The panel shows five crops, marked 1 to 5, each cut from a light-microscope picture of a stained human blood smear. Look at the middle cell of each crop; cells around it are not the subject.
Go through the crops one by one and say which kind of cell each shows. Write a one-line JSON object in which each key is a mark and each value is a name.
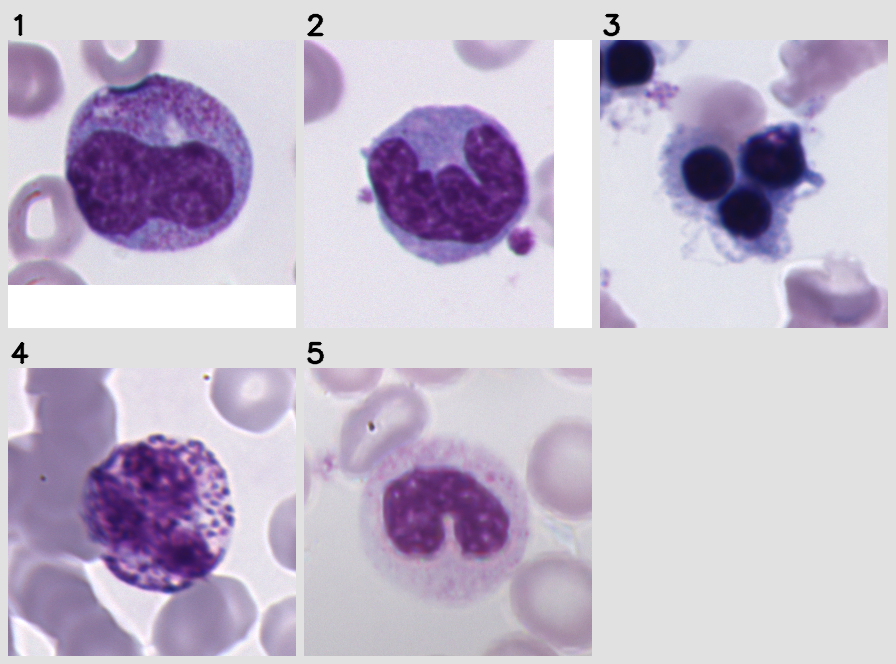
{"1": "promyelocyte", "2": "monocyte", "3": "normoblast", "4": "basophil", "5": "band neutrophil"}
